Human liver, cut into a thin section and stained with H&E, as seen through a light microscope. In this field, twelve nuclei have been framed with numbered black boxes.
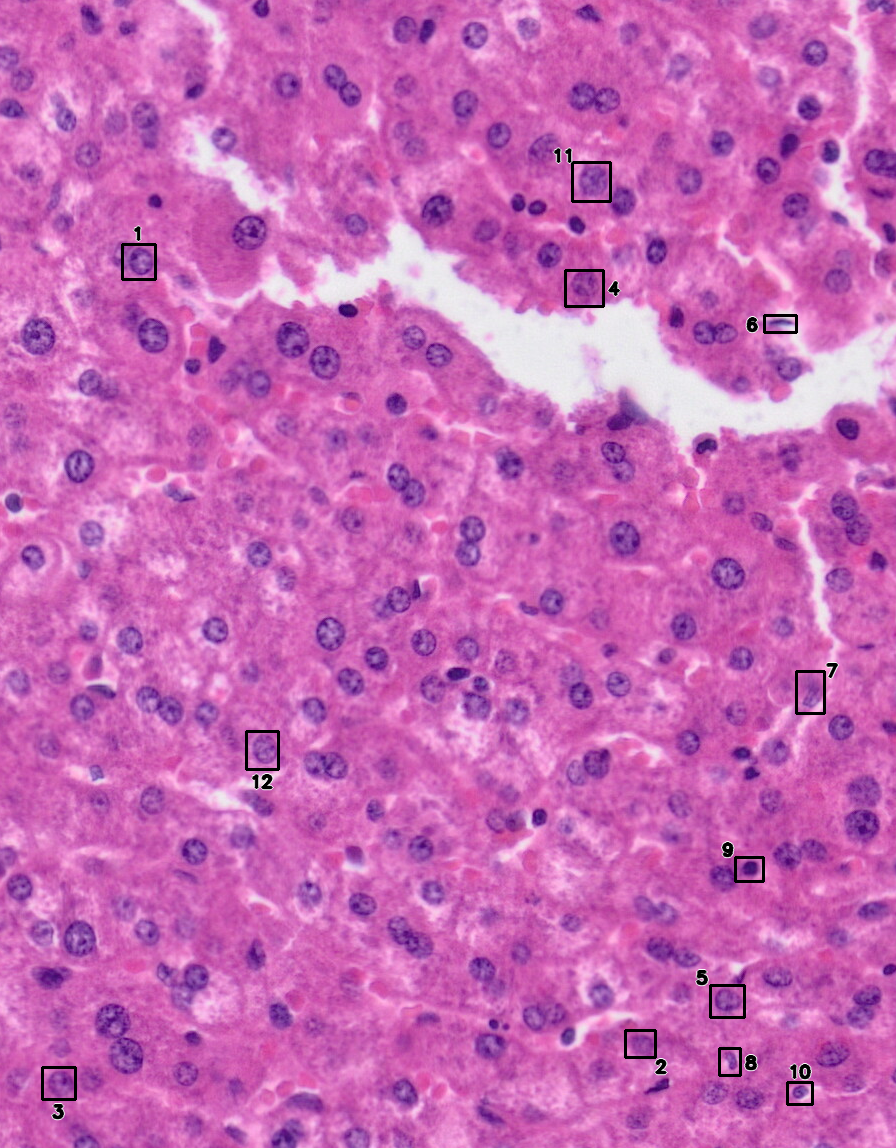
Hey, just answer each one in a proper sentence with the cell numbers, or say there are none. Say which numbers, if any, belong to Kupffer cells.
Where the numbered cells are concerned, only number 7 is a Kupffer cell.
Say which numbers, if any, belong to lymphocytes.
The cells assigned the numbers 9 and 10 are lymphocytes.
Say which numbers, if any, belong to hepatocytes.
The cells referred to by the numbers 1, 2, 3, 4, 5, 11 and 12 are hepatocytes.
